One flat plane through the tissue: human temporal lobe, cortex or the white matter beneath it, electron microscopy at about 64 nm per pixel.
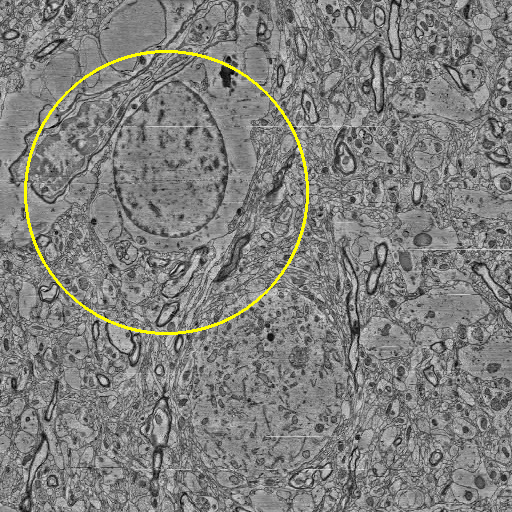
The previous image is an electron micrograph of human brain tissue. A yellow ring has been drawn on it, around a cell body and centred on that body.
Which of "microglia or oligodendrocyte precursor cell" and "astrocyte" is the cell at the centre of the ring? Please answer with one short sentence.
The cell body at the centre of the ring belongs to an astrocyte.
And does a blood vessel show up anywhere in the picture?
Yes, a blood vessel can be seen.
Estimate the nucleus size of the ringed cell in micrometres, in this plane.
In this plane the nucleus measures roughly 10 by 7 micrometers.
